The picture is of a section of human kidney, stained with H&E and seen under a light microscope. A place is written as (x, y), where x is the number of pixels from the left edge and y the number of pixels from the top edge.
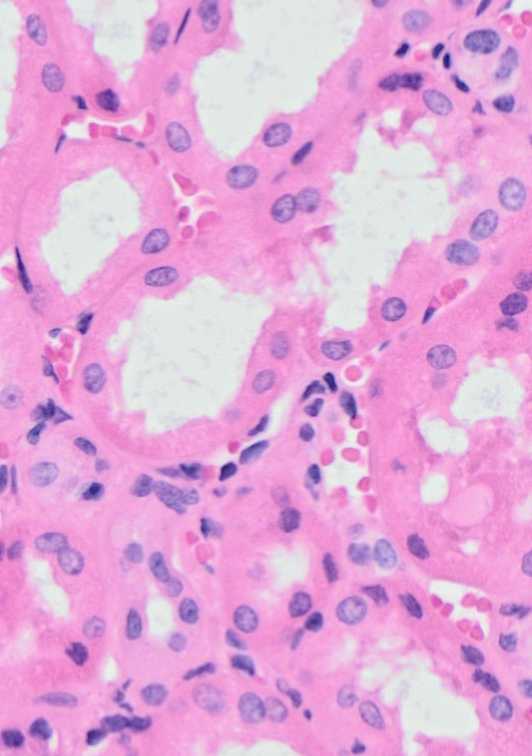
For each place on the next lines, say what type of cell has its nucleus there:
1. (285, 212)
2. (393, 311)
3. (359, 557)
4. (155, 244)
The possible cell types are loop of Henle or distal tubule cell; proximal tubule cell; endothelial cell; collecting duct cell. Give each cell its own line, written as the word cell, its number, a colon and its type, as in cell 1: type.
cell 1: proximal tubule cell
cell 2: proximal tubule cell
cell 3: collecting duct cell
cell 4: proximal tubule cell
